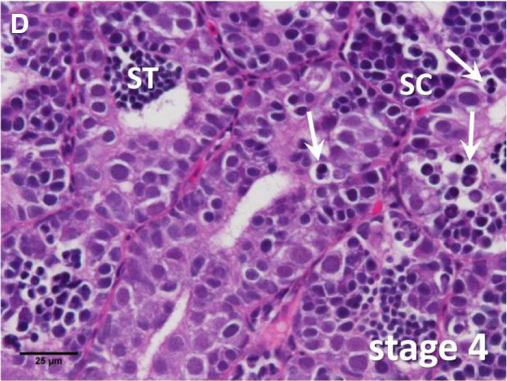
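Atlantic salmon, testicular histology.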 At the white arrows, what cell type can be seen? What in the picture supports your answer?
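Cells with dark, condensed, fragmented-looking nuclei. Each sits in a clear space. So: Apoptotic germ cells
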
